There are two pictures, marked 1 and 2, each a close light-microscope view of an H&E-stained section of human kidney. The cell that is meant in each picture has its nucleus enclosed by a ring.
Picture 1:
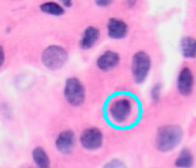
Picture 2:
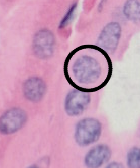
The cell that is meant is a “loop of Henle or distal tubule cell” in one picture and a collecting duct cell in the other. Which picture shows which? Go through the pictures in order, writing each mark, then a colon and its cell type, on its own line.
1: loop of Henle or distal tubule cell
2: collecting duct cell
